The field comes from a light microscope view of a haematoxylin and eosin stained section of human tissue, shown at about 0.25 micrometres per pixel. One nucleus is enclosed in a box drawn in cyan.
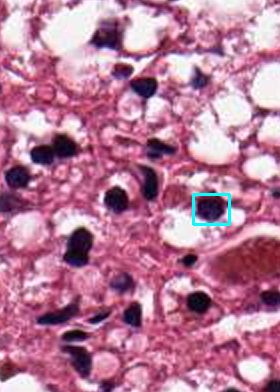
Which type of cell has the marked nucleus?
adrenal cortical cell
